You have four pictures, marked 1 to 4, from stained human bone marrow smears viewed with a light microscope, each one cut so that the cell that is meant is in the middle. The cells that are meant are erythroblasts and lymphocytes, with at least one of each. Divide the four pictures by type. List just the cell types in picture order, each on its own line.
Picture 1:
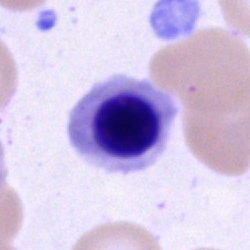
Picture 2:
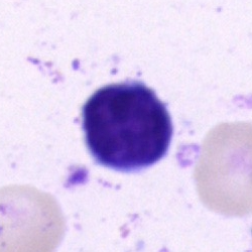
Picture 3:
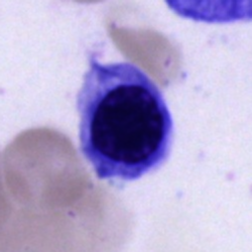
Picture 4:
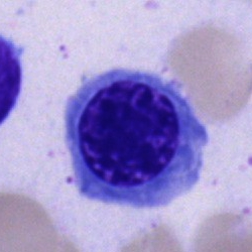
erythroblast
lymphocyte
erythroblast
erythroblast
